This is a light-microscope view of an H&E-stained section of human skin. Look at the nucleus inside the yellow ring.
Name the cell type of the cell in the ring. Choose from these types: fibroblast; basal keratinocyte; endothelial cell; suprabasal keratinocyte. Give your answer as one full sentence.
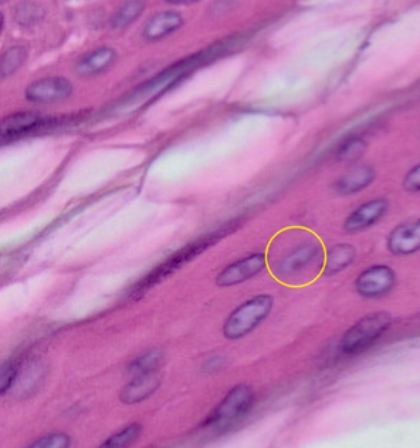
As classified here, the cell in the ring is a suprabasal keratinocyte.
